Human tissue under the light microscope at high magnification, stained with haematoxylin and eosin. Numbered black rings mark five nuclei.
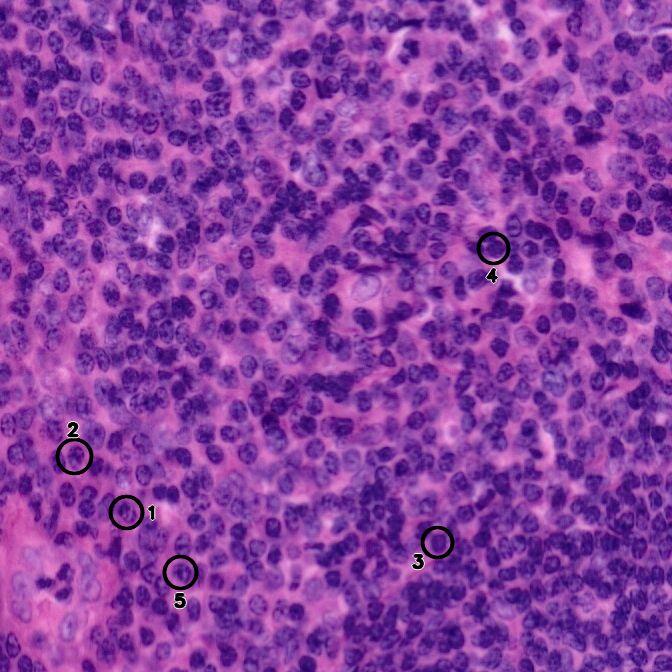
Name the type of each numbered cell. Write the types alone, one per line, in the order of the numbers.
plasma cell
plasma cell
small lymphocyte
small lymphocyte
plasma cell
